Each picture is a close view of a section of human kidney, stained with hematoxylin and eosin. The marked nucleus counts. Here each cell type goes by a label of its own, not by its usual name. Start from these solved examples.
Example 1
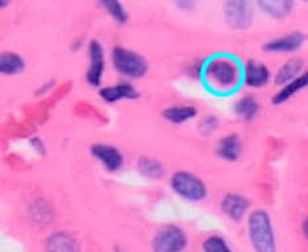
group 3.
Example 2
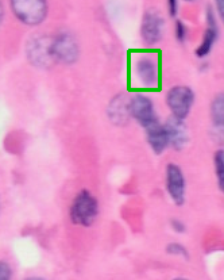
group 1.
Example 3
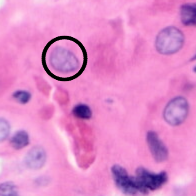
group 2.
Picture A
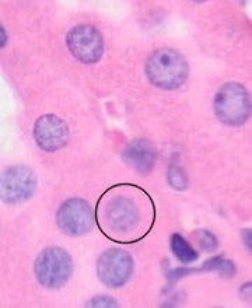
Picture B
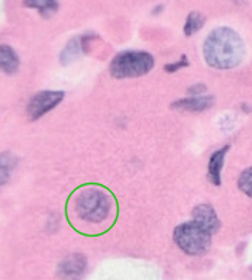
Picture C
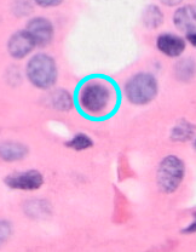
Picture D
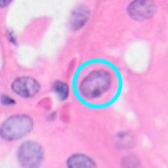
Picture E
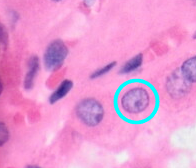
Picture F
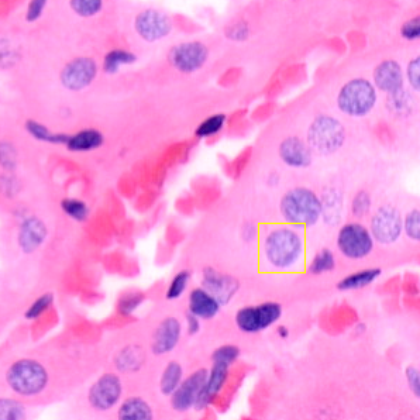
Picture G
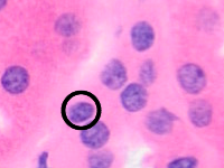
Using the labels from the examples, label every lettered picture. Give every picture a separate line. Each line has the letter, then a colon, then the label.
A: group 1.
B: group 1.
C: group 3.
D: group 2.
E: group 2.
F: group 3.
G: group 3.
